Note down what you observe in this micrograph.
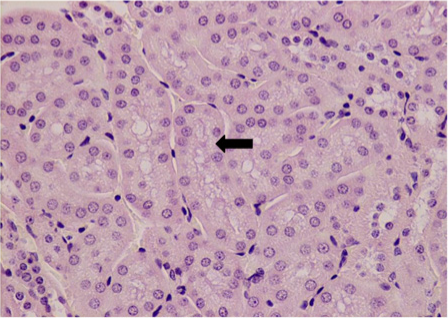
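This is kidney cortex with closely packed proximal tubules lined by cuboidal epithelial cells with pink granular cytoplasm. Each epithelial cell has a round nucleus with a visible nucleolus, and the tubules are separated by thin interstitial spaces with small dark elongated nuclei. The architecture is orderly and the tubules keep their outlines.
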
